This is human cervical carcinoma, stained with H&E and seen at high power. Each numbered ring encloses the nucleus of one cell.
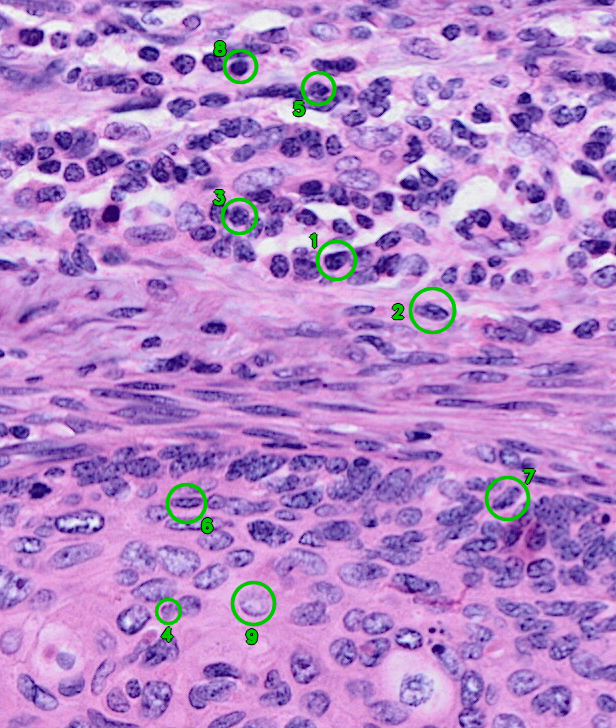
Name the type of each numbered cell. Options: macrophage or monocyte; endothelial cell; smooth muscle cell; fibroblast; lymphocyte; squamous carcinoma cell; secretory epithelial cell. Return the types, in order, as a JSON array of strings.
["lymphocyte", "lymphocyte", "lymphocyte", "squamous carcinoma cell", "lymphocyte", "squamous carcinoma cell", "squamous carcinoma cell", "lymphocyte", "squamous carcinoma cell"]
